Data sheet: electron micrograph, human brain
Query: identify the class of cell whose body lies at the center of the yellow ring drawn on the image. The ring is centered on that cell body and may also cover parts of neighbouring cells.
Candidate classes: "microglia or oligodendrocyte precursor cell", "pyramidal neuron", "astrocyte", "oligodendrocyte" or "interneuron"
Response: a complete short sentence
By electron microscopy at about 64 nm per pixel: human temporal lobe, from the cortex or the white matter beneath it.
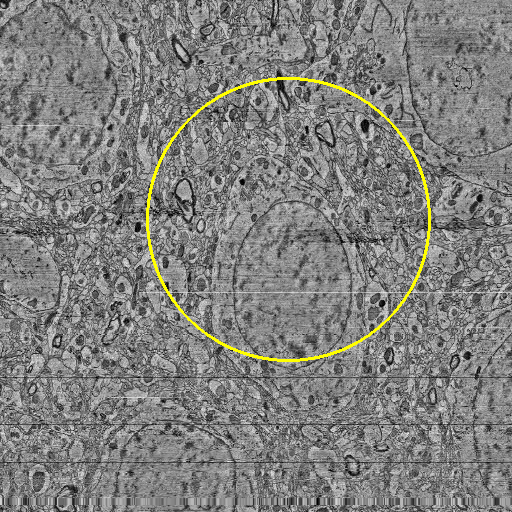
At the center of the ring lies a pyramidal neuron.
